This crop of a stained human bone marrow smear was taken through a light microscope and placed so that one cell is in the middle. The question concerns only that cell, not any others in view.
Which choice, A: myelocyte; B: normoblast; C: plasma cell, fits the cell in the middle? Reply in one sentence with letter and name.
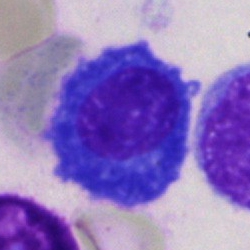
Option C is accurate; the centrally placed cell is a plasma cell.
